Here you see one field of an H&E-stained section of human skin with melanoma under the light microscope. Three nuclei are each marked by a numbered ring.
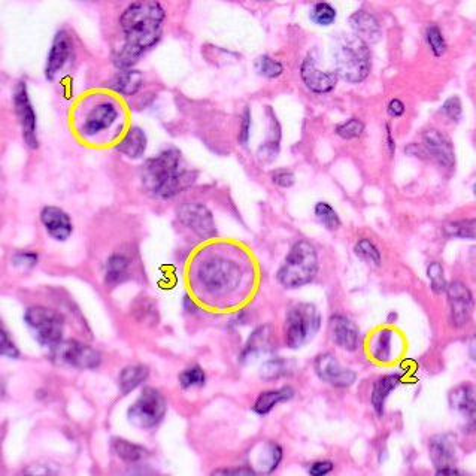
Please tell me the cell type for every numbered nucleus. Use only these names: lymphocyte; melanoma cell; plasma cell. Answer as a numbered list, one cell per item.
1. lymphocyte
2. melanoma cell
3. melanoma cell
